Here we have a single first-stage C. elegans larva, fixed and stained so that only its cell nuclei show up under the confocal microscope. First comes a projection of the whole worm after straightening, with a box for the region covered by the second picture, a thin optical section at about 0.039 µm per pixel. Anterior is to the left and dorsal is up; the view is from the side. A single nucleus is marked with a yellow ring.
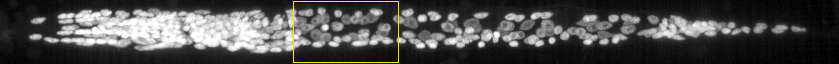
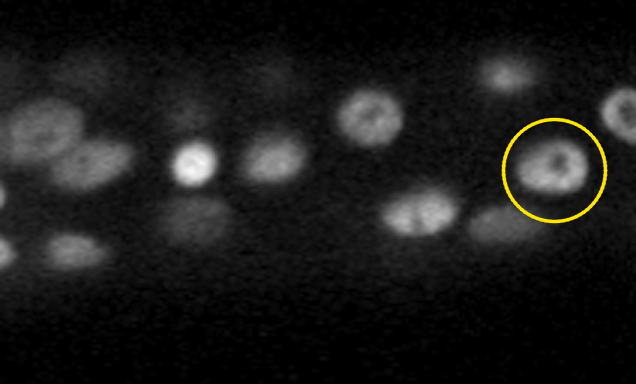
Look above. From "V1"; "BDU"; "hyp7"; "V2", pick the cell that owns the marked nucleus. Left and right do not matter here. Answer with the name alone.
V2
